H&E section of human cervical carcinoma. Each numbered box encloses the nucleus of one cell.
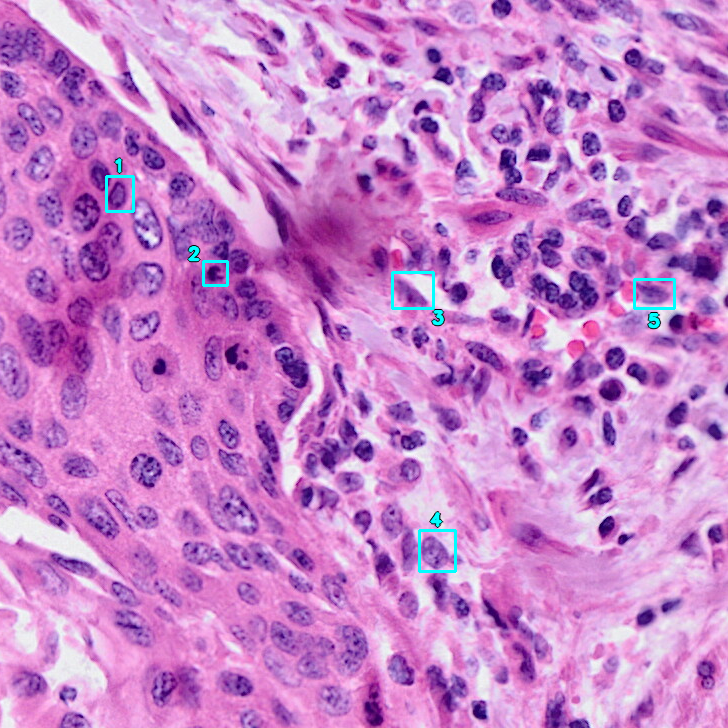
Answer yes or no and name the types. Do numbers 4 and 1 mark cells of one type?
No, cell 4 is a fibroblast, with cell 1 being a squamous carcinoma cell.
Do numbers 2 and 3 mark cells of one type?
No, the proper labels are a squamous carcinoma cell for cell 2 and an endothelial cell for cell 3.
